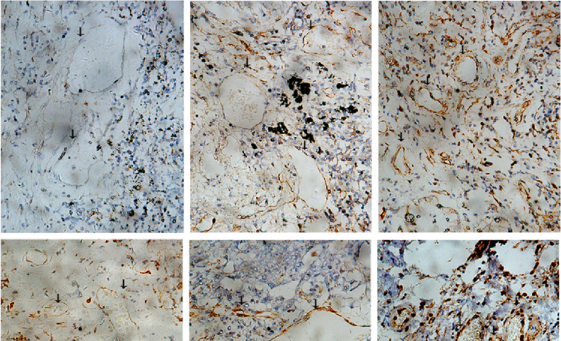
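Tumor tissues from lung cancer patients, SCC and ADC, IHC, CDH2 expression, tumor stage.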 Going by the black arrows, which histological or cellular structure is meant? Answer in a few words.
Microvessels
